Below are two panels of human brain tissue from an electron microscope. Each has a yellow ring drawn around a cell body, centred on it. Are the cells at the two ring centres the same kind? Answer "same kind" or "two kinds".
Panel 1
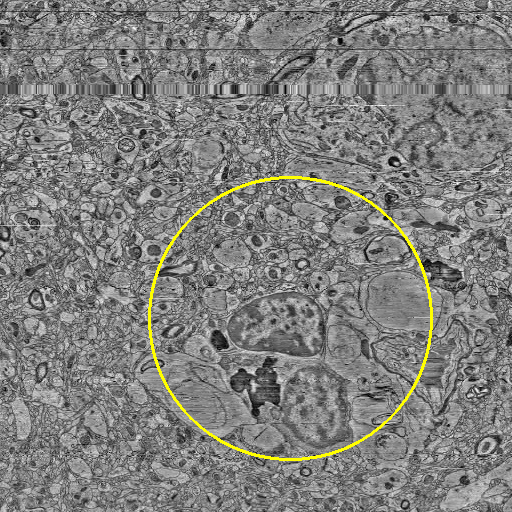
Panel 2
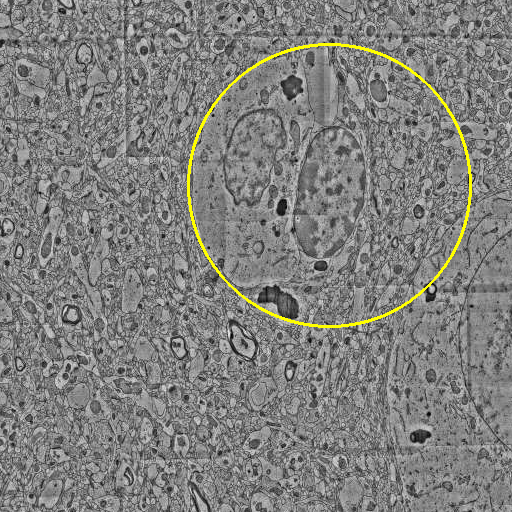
same kind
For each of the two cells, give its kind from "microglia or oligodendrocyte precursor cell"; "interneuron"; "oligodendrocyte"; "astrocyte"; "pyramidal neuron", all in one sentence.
The first and the second cell are each a microglial cell or oligodendrocyte precursor cell.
